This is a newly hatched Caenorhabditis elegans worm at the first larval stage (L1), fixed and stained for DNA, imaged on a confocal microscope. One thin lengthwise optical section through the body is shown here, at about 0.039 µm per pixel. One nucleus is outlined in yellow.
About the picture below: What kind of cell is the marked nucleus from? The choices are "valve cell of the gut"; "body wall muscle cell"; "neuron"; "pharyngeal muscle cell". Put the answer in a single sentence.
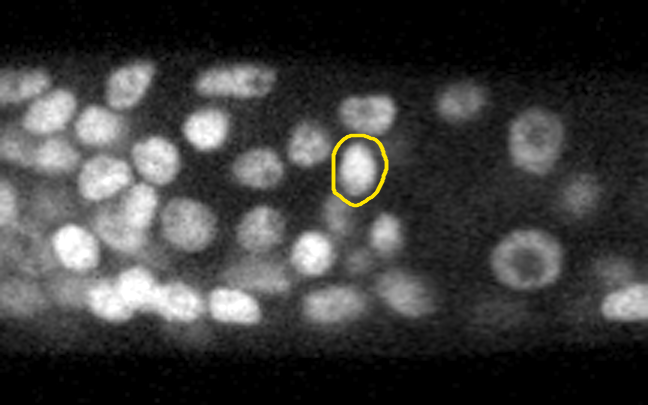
The marked cell is a valve cell of the gut.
